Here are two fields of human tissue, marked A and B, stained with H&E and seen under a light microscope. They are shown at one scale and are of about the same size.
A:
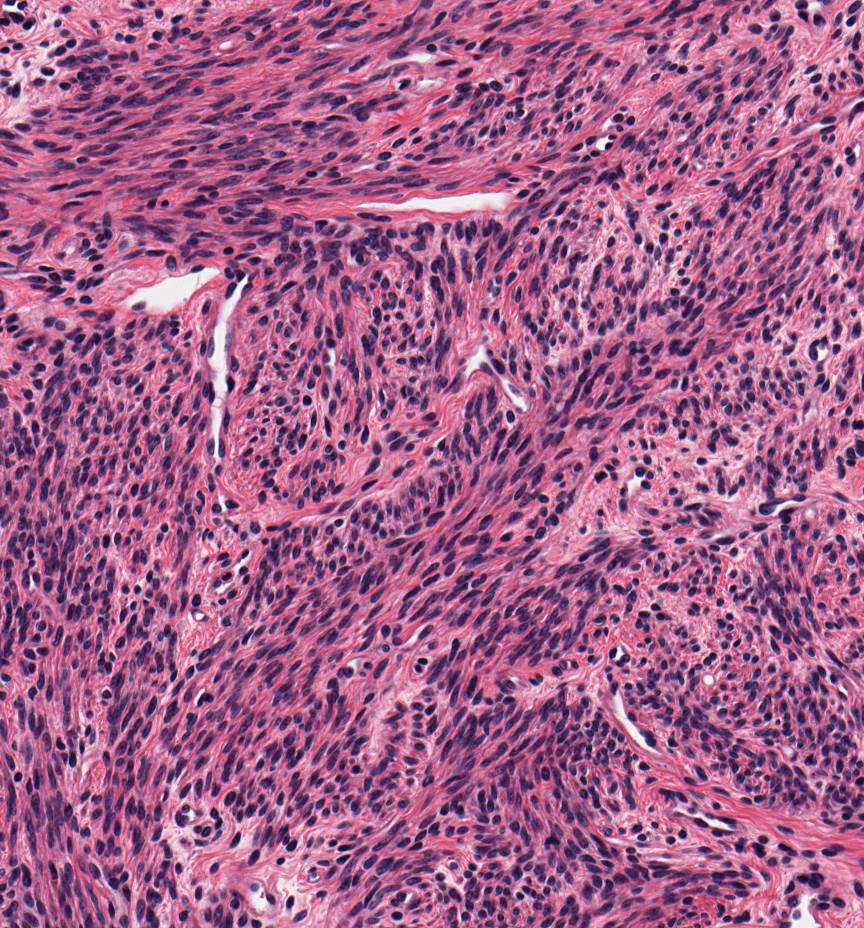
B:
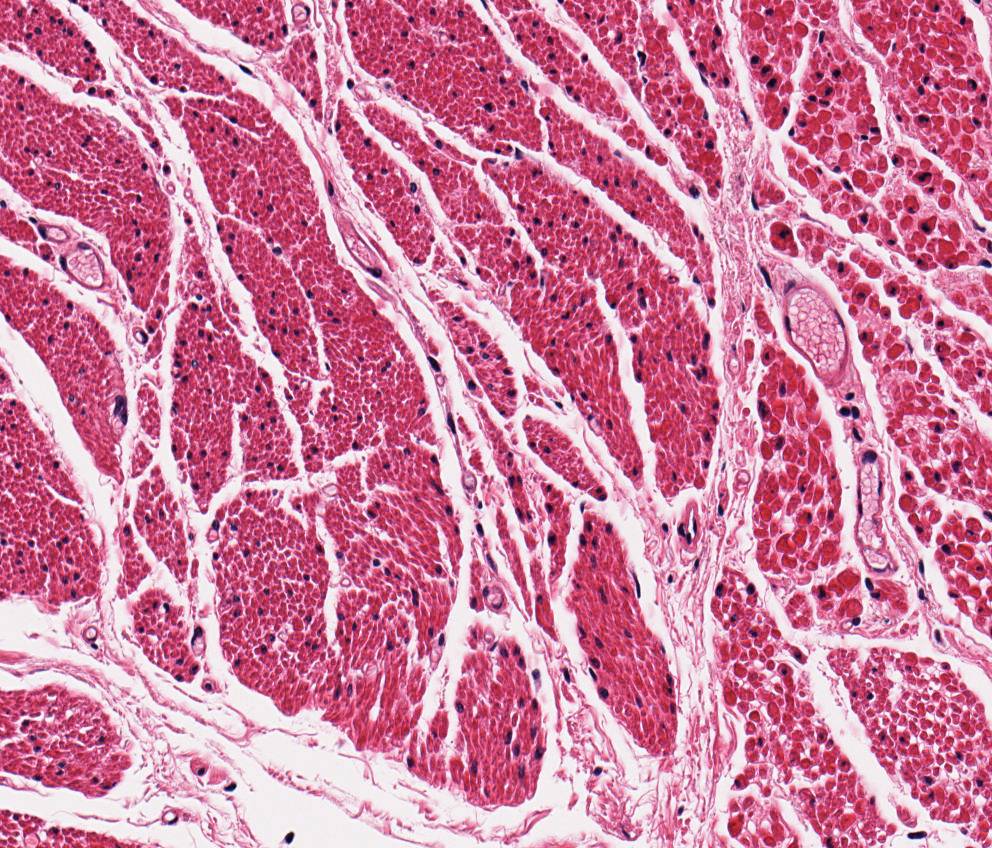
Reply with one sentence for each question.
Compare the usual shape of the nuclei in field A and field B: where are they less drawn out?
The nuclei are rounder in field B.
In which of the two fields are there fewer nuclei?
The smaller number of nuclei is in field B.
